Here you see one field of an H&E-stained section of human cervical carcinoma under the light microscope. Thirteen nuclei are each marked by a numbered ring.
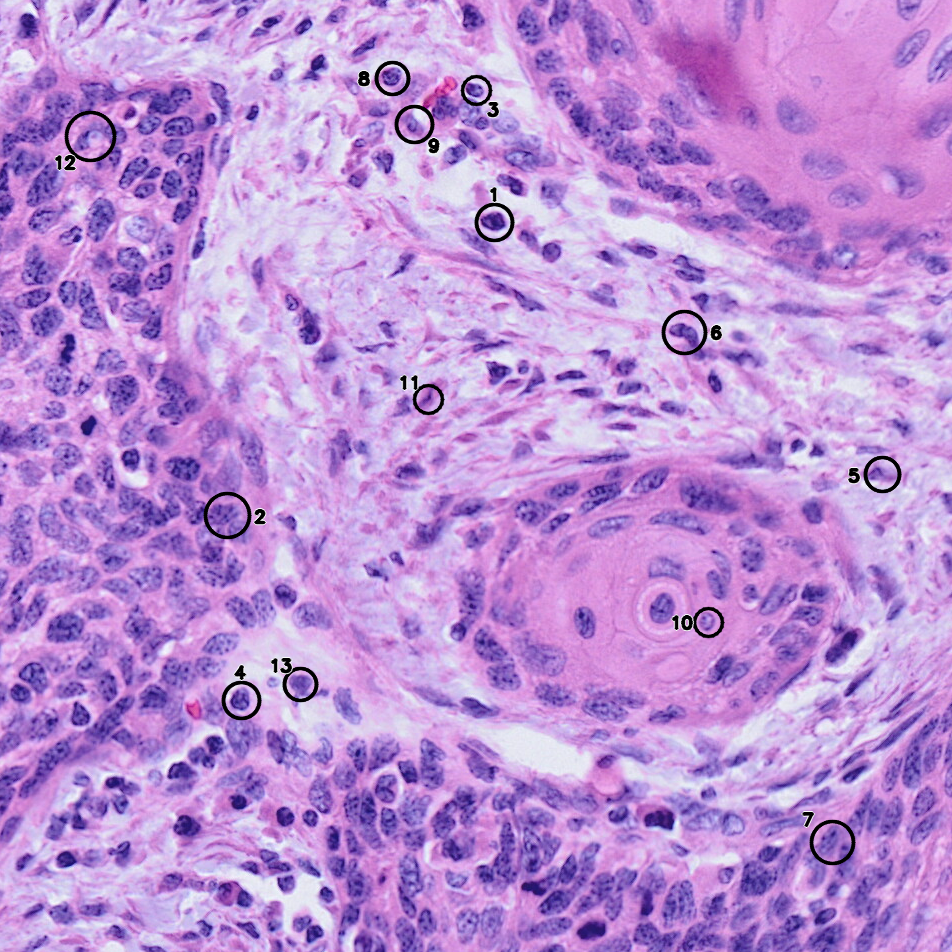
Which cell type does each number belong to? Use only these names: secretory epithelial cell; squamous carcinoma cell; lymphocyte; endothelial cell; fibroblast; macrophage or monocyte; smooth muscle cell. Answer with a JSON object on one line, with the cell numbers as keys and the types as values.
{"1": "lymphocyte", "2": "squamous carcinoma cell", "3": "lymphocyte", "4": "lymphocyte", "5": "fibroblast", "6": "lymphocyte", "7": "squamous carcinoma cell", "8": "lymphocyte", "9": "endothelial cell", "10": "squamous carcinoma cell", "11": "fibroblast", "12": "squamous carcinoma cell", "13": "lymphocyte"}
